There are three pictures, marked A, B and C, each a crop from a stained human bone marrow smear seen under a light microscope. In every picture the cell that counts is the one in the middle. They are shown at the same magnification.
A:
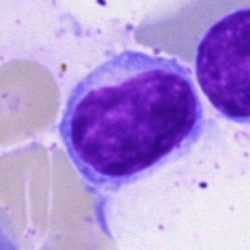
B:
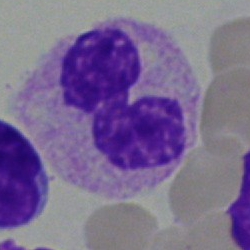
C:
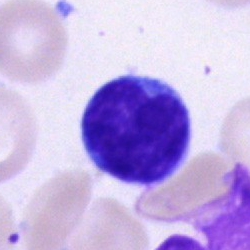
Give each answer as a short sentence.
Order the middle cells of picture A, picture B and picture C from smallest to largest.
Smallest first: C, A, B.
